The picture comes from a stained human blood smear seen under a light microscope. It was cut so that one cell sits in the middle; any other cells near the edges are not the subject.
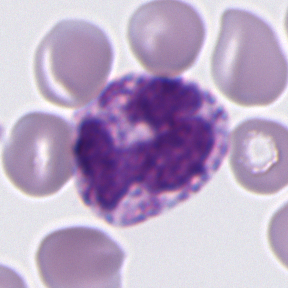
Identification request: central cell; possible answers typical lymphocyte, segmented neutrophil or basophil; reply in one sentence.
The cell nearest the centre of this crop is a basophil.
